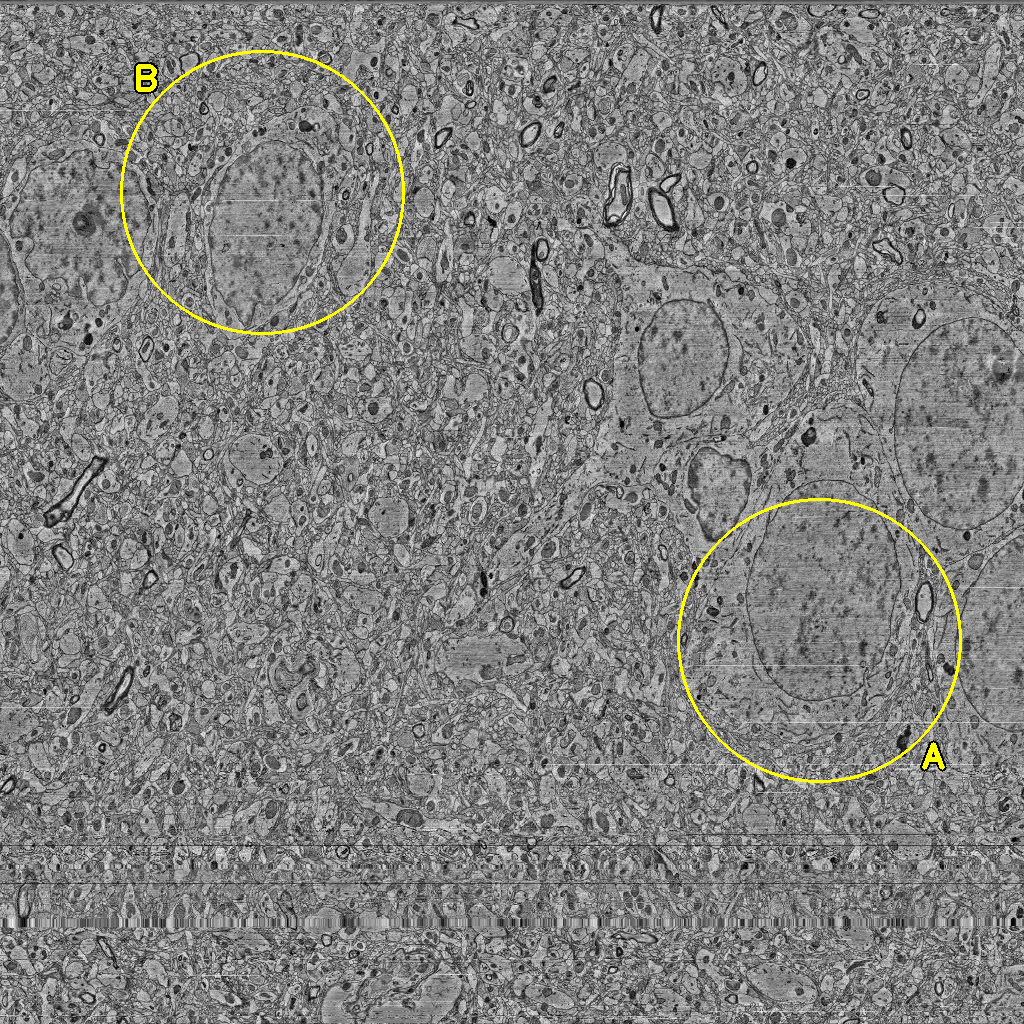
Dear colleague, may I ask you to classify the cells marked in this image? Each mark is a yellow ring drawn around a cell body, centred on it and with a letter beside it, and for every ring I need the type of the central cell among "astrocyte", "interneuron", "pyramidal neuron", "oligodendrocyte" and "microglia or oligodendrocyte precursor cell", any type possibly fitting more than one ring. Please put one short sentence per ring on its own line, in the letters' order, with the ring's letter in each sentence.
Ring A contains a pyramidal neuron at its centre.
Ring B contains an interneuron at its centre.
